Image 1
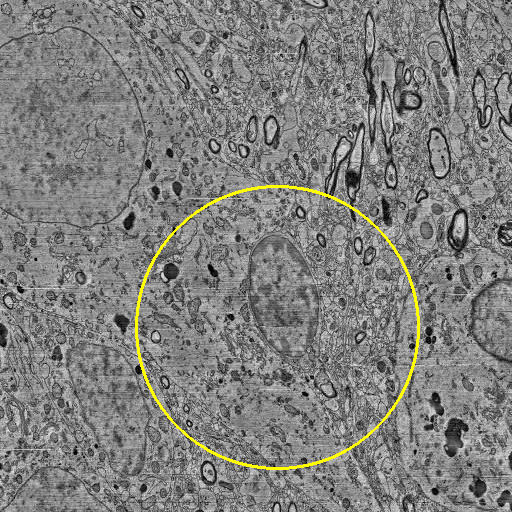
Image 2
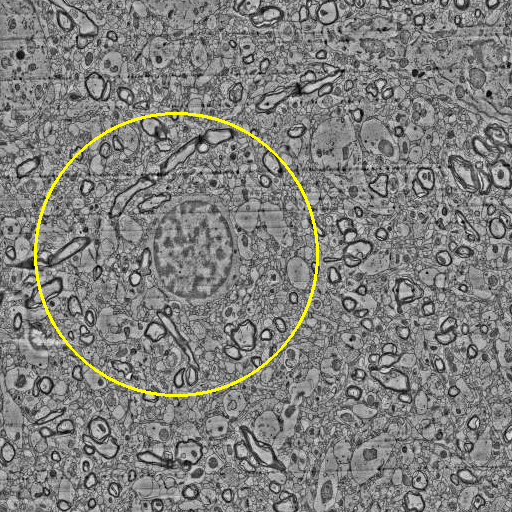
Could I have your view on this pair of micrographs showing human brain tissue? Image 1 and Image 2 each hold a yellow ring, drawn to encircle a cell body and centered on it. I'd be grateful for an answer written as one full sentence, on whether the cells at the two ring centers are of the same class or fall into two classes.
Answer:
The cells at the centers of the two rings are of the same class.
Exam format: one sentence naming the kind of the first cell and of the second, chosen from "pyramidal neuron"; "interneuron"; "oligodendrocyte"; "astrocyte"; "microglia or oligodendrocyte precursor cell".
Each cell at the centre of a ring is an oligodendrocyte.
